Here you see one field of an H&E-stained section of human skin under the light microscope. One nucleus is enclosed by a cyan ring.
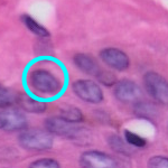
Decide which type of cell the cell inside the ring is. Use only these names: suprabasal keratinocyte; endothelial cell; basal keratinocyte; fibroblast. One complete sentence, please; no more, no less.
Right, so the cell inside the ring is a basal keratinocyte, to answer that.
